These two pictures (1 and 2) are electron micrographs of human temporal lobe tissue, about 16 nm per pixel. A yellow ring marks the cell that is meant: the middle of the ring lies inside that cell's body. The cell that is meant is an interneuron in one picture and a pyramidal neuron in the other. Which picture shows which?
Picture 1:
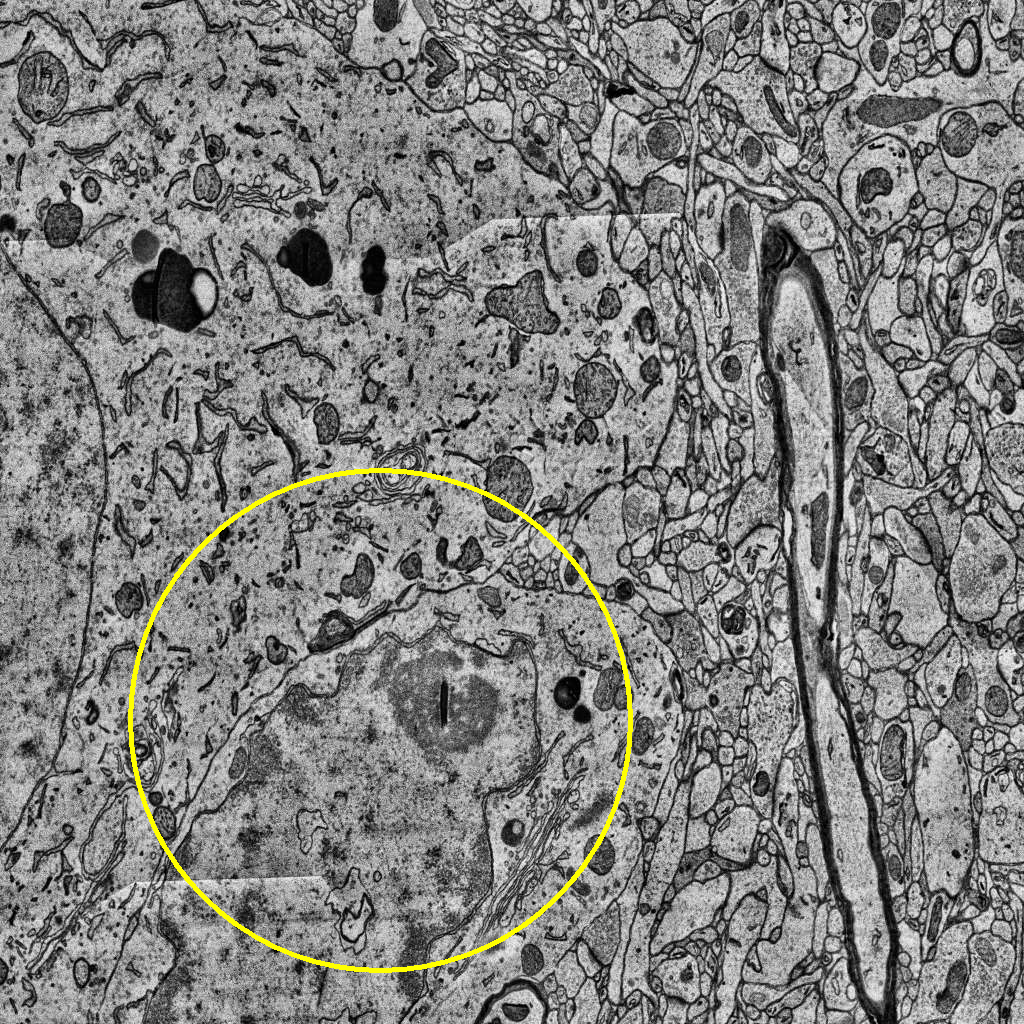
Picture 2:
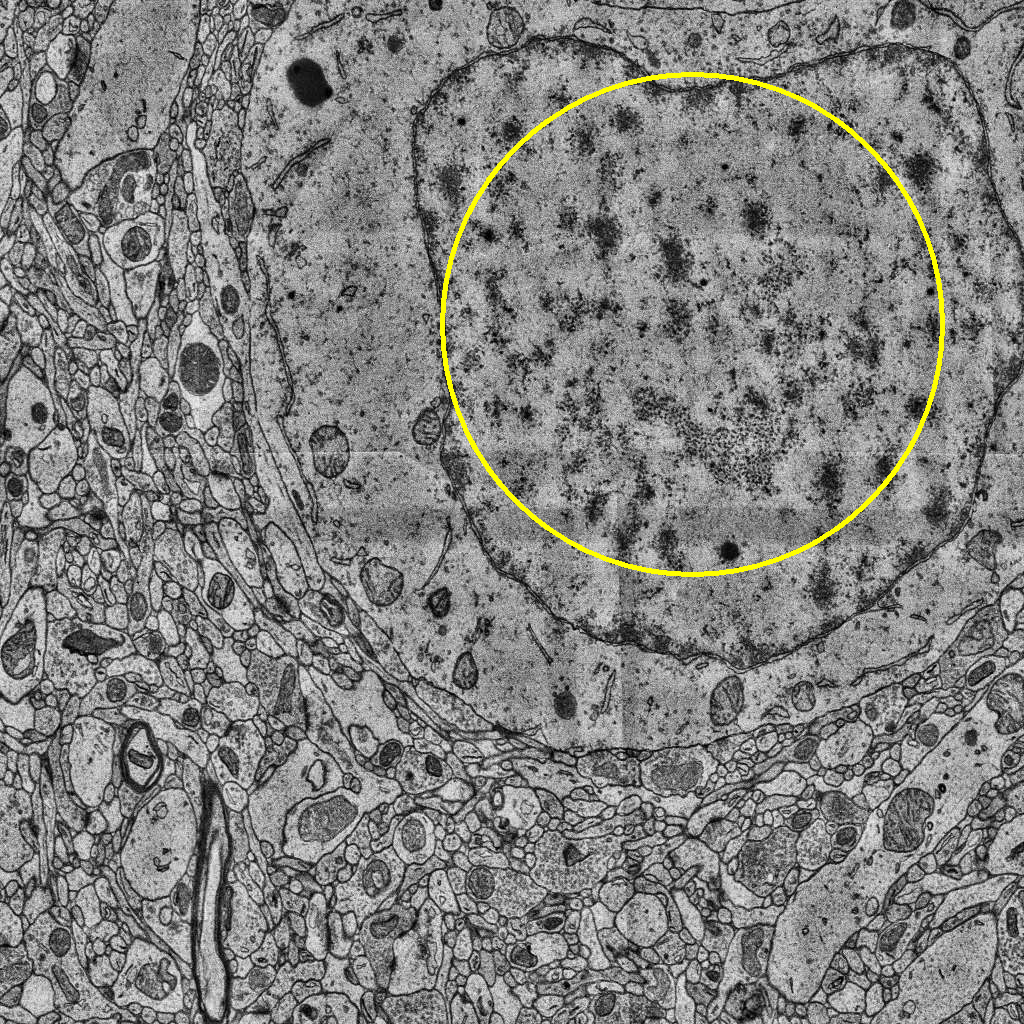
The cell in picture 1 is an interneuron, and the one in picture 2 is a pyramidal neuron.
